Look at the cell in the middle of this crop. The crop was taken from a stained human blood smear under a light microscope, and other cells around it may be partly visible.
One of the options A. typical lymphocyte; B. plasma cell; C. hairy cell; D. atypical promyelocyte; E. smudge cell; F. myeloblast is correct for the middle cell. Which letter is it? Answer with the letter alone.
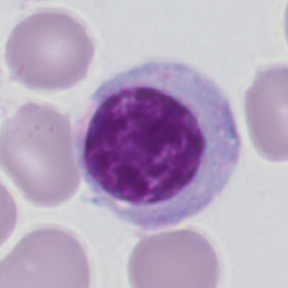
B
